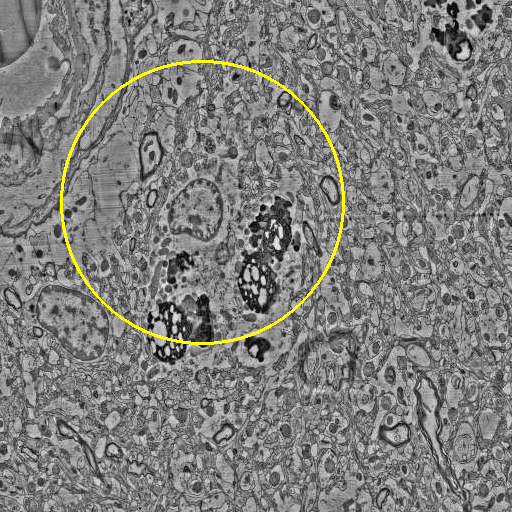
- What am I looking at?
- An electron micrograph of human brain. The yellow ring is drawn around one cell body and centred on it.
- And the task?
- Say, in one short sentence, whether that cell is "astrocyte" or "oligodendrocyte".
The cell in the middle of the ring is an astrocyte.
